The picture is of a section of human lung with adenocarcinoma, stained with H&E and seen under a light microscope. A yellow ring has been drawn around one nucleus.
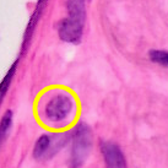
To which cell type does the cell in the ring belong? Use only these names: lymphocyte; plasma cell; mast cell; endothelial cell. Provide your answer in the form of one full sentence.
So far as cell type goes, the cell in the ring is a mast cell.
